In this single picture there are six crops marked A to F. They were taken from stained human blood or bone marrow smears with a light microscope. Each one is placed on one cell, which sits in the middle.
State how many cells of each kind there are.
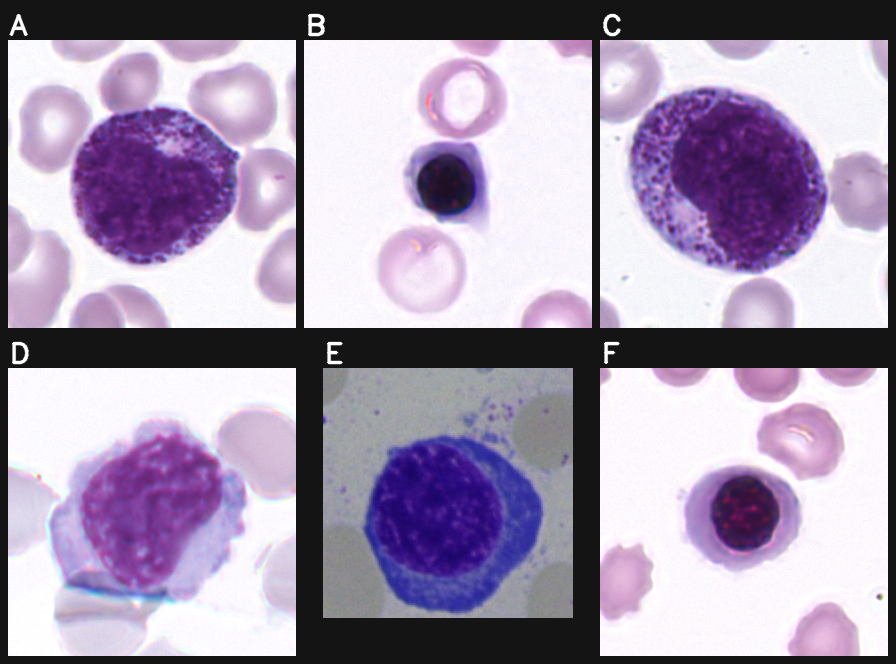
promyelocyte: 2
normoblast: 2
plasma cell: 2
